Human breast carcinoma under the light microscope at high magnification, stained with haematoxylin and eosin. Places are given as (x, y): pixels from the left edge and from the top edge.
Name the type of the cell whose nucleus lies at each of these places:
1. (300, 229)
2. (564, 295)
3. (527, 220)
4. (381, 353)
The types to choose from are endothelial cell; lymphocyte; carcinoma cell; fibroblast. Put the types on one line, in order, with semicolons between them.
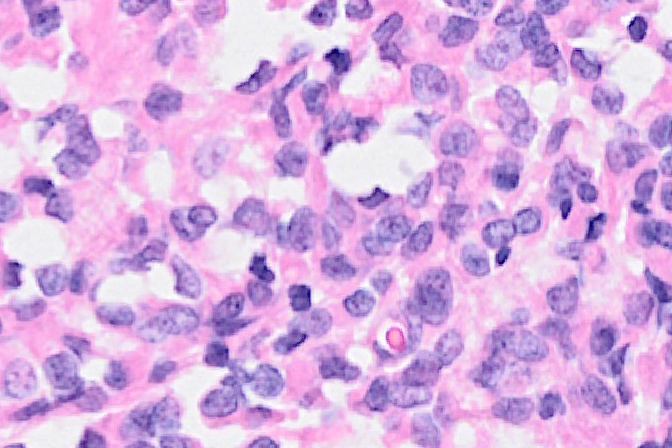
carcinoma cell; carcinoma cell; carcinoma cell; endothelial cell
